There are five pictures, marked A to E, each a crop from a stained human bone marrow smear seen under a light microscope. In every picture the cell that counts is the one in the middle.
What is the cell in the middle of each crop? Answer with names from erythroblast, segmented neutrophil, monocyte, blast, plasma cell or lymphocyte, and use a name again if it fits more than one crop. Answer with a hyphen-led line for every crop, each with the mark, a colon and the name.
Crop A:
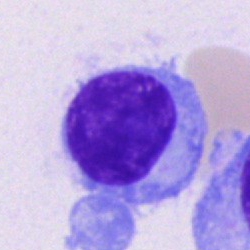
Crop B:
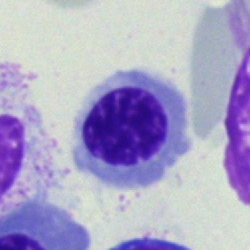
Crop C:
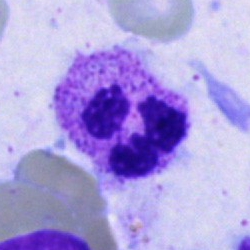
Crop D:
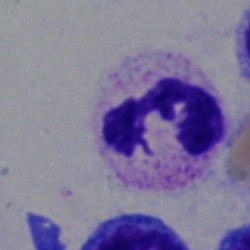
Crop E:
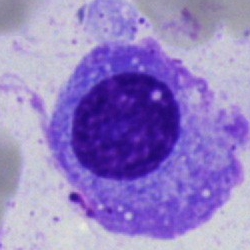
- A: plasma cell
- B: erythroblast
- C: segmented neutrophil
- D: segmented neutrophil
- E: plasma cell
